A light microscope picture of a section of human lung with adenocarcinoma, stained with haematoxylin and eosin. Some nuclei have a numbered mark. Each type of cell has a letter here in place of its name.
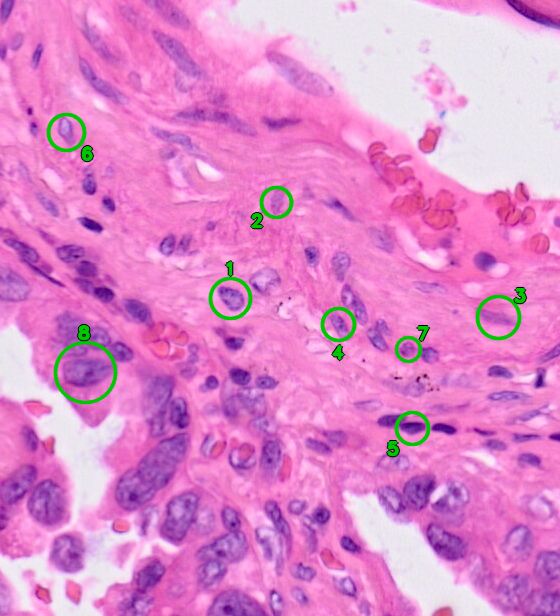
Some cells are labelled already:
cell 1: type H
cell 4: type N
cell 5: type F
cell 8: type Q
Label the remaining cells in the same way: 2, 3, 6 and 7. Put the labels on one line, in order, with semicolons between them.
type N; type N; type N; type N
